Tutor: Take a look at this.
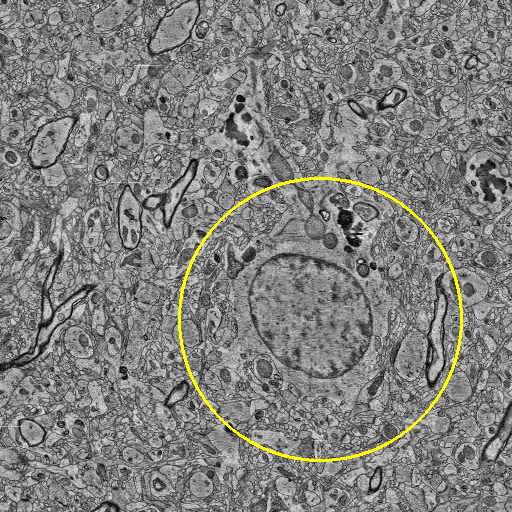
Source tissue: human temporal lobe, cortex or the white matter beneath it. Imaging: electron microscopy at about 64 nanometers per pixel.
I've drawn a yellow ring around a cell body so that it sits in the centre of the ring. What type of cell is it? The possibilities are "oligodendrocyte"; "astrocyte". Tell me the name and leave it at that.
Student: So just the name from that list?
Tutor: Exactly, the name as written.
astrocyte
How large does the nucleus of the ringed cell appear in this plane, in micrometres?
Roughly 9 micrometres by 7 micrometres, in this plane.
